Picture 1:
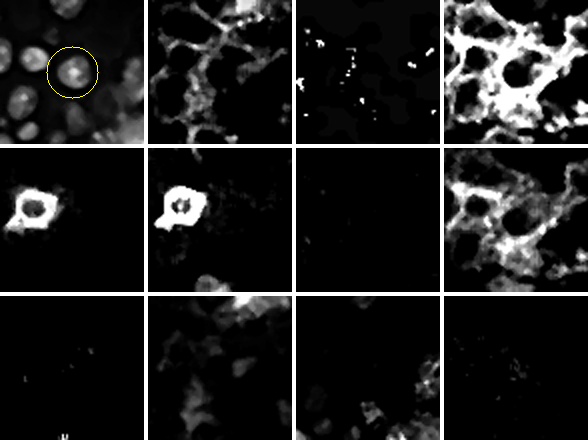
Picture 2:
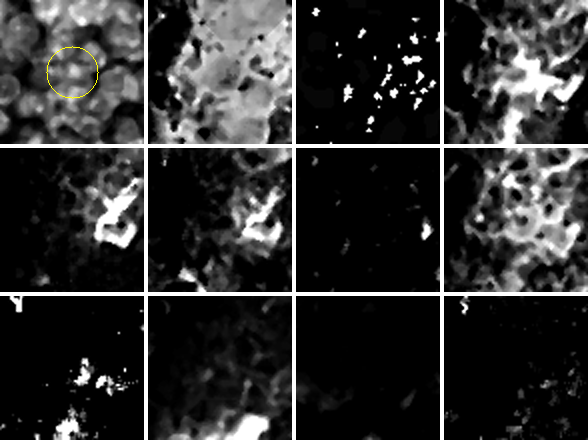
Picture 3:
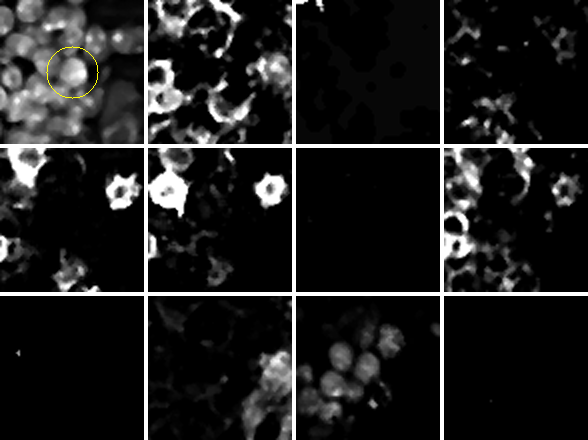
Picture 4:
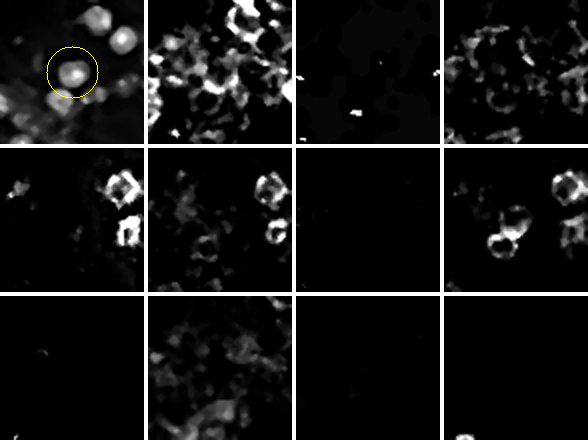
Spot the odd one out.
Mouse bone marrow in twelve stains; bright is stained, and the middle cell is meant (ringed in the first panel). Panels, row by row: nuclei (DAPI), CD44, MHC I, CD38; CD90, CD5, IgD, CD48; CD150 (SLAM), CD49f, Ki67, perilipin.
Picture 3 (an erythroblast among monocytes).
